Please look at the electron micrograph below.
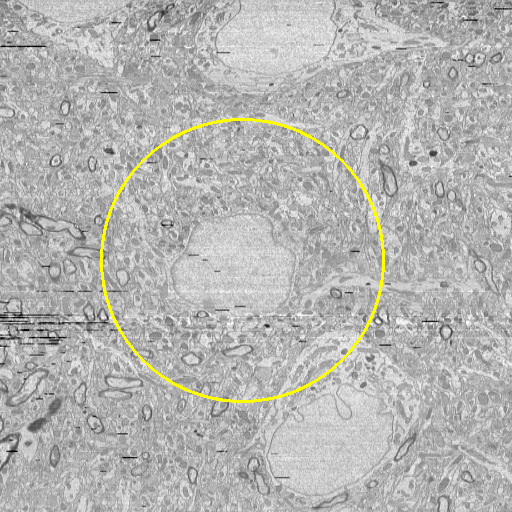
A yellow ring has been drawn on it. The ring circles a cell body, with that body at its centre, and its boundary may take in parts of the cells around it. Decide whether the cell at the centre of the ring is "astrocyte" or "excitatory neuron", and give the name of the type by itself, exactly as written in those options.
astrocyte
